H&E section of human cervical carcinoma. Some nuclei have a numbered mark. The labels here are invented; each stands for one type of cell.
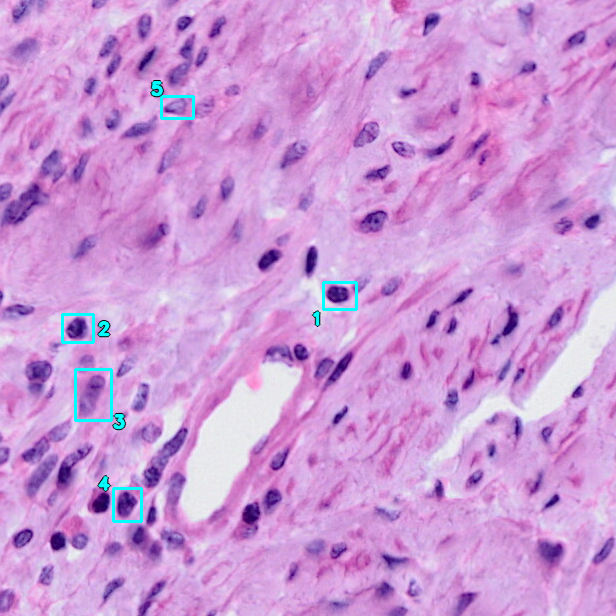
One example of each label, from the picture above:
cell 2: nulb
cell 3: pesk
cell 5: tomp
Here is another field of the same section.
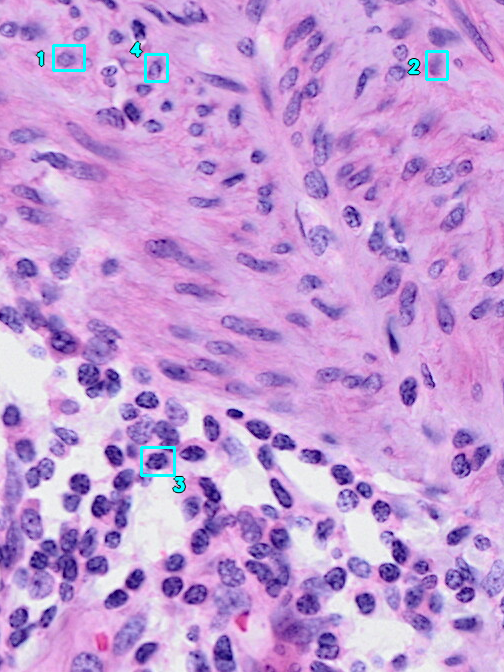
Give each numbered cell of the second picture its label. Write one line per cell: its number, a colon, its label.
1: tomp
2: tomp
3: nulb
4: tomp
